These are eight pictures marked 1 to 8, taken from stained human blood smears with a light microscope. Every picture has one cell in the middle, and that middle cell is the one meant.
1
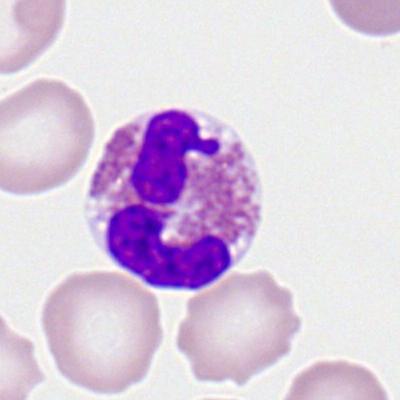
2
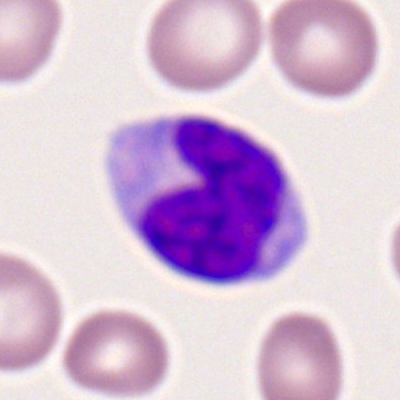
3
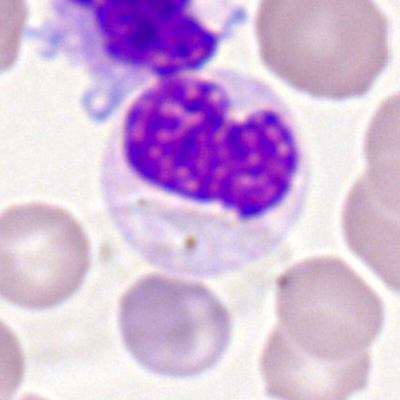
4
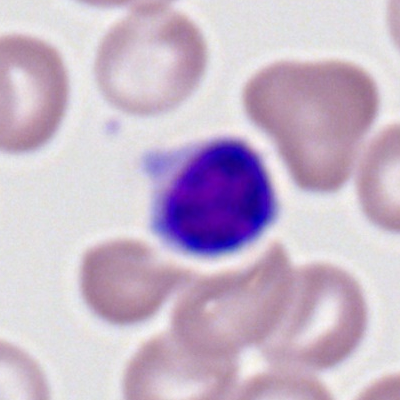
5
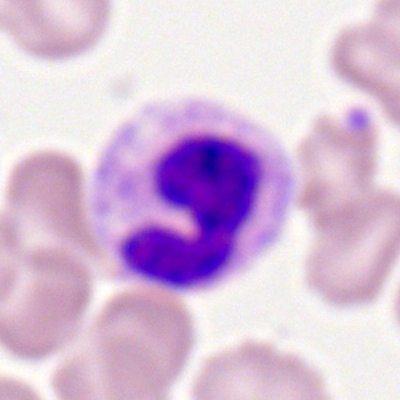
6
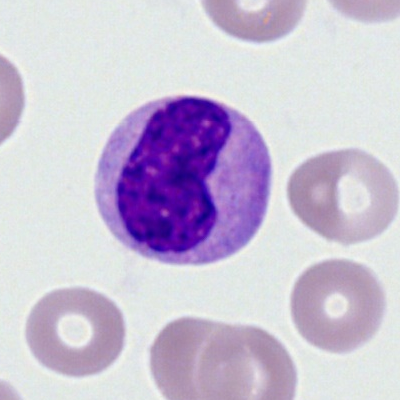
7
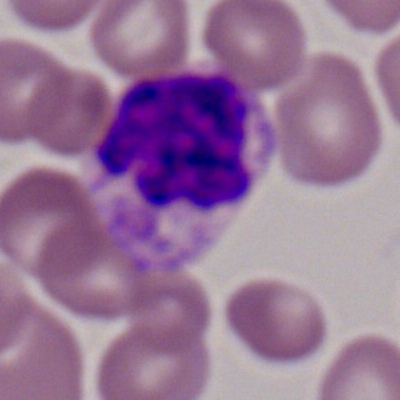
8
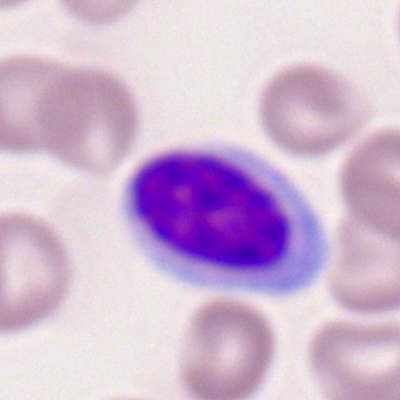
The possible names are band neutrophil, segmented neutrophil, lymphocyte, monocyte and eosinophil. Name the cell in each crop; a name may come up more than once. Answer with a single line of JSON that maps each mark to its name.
{"1": "eosinophil", "2": "monocyte", "3": "band neutrophil", "4": "lymphocyte", "5": "band neutrophil", "6": "band neutrophil", "7": "segmented neutrophil", "8": "lymphocyte"}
